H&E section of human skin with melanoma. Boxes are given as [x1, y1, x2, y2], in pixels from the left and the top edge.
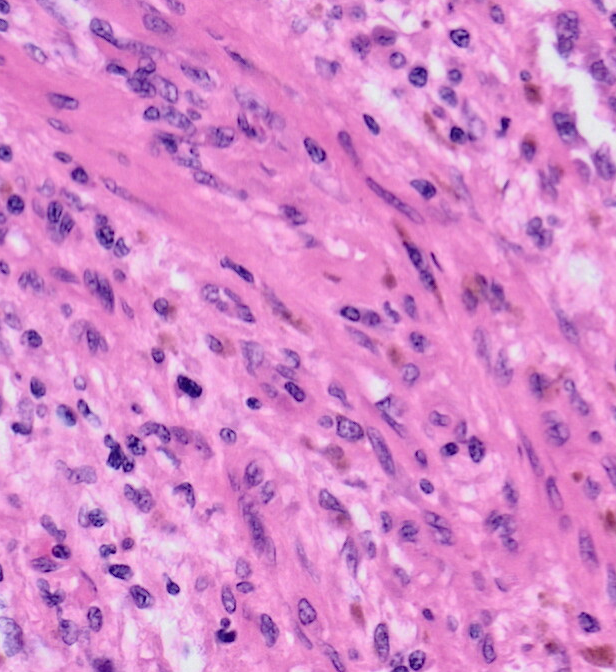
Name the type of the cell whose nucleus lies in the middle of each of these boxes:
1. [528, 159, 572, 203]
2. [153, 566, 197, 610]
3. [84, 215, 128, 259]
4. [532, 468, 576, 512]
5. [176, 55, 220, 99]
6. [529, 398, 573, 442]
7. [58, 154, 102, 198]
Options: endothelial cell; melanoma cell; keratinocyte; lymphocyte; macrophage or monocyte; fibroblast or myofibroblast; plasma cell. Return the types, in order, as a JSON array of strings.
["fibroblast or myofibroblast", "lymphocyte", "plasma cell", "endothelial cell", "endothelial cell", "endothelial cell", "plasma cell"]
